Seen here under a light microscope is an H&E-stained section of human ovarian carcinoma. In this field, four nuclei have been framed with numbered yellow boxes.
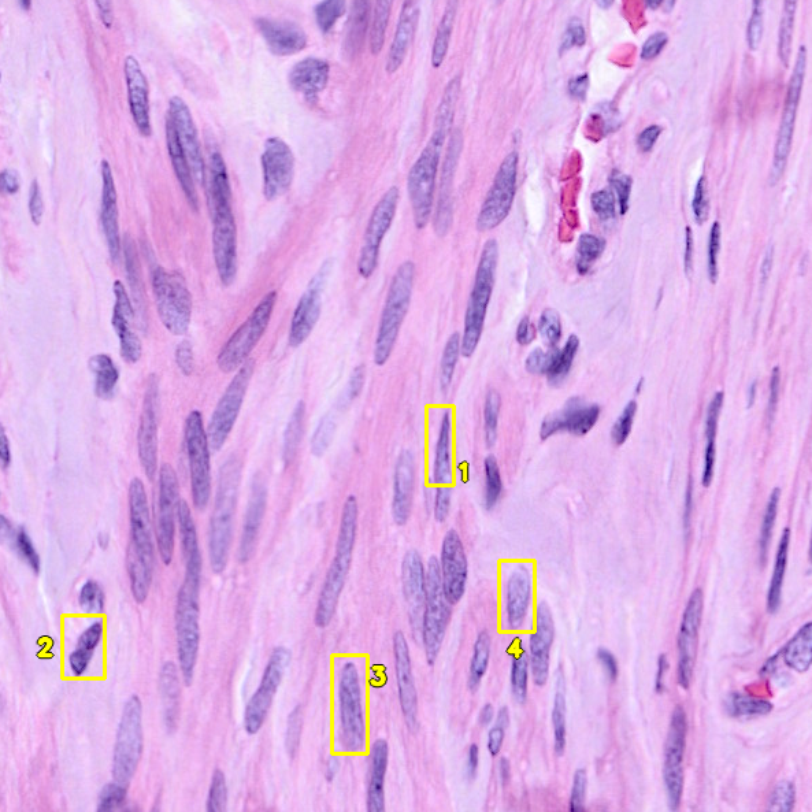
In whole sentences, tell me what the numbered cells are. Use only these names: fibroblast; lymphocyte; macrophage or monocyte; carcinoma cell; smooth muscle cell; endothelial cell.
Cell 1 is a smooth muscle cell, cell 2 is a fibroblast, cell 3 is a smooth muscle cell and cell 4 is a smooth muscle cell.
